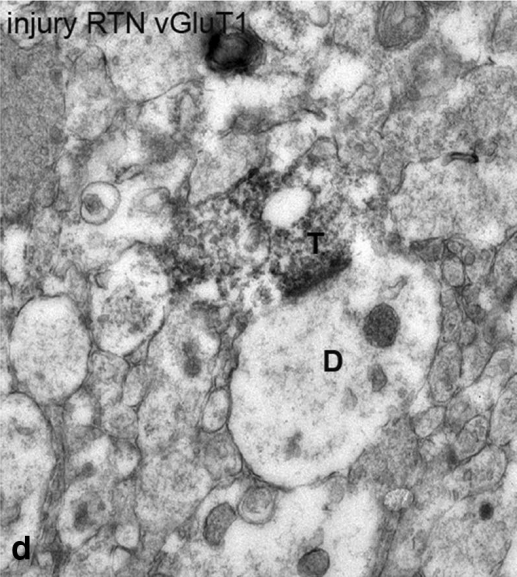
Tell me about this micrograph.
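This electron micrograph shows a labeled axon terminal next to a postsynaptic dendrite in neuropil. The terminal has an irregular, poorly defined outline, with dark granular reaction product scattered through it and denser along one edge. The adjacent dendrite is a large pale, rounded profile with a small mitochondrion and sparse content. The surrounding neuropil contains many small rounded processes, some with mitochondria, and scattered empty-looking spaces.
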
